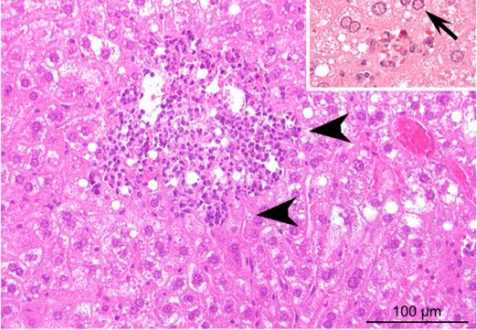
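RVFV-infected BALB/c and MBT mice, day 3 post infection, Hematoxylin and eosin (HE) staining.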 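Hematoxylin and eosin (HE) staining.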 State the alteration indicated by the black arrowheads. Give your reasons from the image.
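A focal cluster of small dark-nucleated cells among the liver cells. Fragmented dark nuclear debris within the cluster. Surrounding liver cells have pale, vacuolated cytoplasm.
Answer: lesions with necrotic and apoptotic hepatocytes, and neutrophil infiltrate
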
